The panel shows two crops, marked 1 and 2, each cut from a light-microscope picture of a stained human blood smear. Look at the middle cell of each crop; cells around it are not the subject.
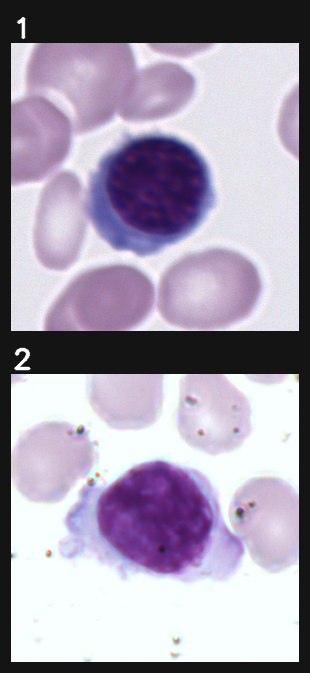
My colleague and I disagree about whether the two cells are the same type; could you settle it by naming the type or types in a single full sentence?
No, crop 1 shows an erythroblast, and the cell in crop 2 is a plasma cell.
